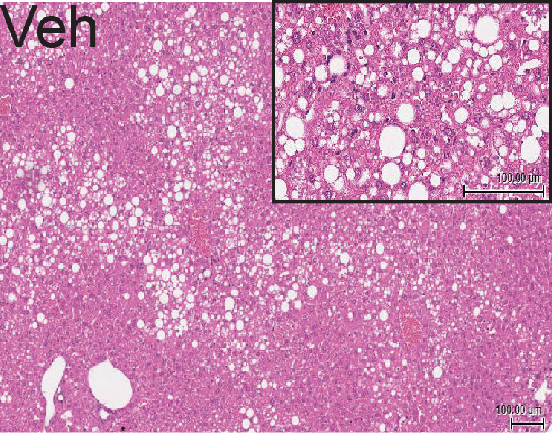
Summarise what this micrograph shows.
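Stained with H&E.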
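Liver tissue stained with hematoxylin and eosin, showing sheets of hepatocytes with pink cytoplasm and round, dark purple nuclei. Throughout the section, and crowded into broad patches, the hepatocytes contain clear, round, empty-looking vacuoles of varying size, from small droplets to large ones that fill much of a cell and push its nucleus aside. The inset at higher magnification shows these vacuoles densely packed between the pink cytoplasm of the cells.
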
